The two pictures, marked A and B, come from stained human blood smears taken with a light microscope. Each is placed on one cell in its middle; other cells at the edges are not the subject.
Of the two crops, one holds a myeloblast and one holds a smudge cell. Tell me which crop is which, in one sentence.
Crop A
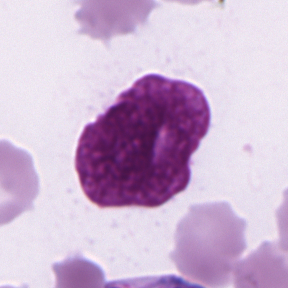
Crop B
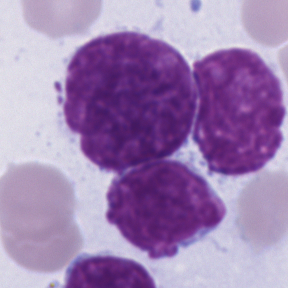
The central cell of crop A is a smudge cell, and that of crop B is a myeloblast.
